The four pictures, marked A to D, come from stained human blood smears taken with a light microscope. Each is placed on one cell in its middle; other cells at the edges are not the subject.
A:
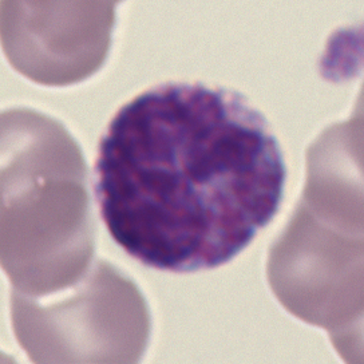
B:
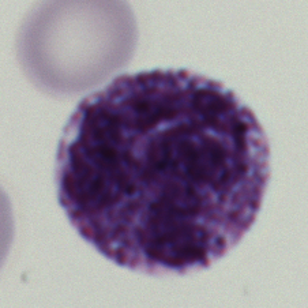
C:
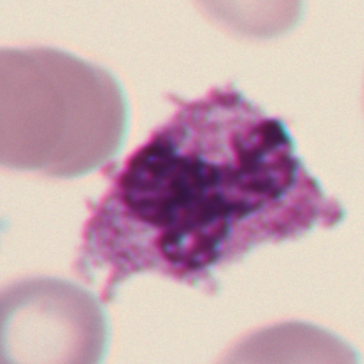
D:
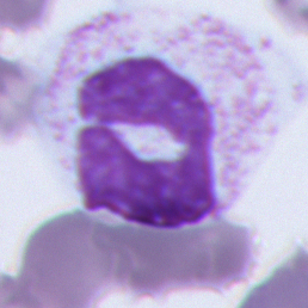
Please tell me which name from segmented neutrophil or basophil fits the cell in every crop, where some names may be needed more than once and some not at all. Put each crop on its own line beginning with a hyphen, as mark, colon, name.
- A: basophil
- B: basophil
- C: basophil
- D: segmented neutrophil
